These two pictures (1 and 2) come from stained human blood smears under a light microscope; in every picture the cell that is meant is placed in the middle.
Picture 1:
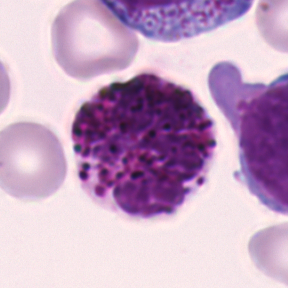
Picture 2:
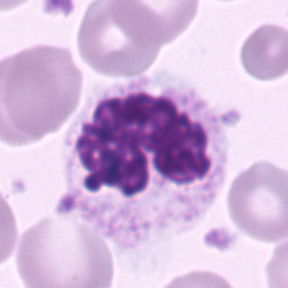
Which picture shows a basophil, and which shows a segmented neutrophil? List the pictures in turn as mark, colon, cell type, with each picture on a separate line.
1: basophil
2: segmented neutrophil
